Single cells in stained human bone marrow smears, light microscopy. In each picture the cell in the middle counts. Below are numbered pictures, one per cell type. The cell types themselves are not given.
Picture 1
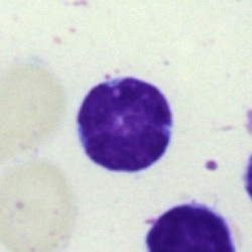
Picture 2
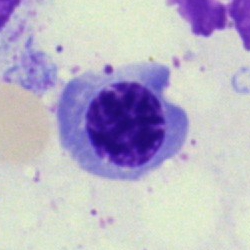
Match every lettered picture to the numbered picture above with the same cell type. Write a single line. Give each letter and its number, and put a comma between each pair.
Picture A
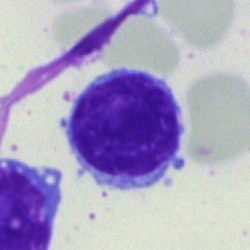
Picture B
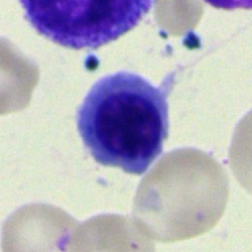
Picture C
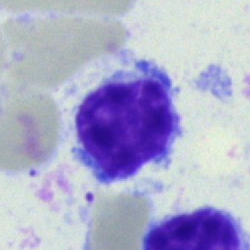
A 1, B 2, C 1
